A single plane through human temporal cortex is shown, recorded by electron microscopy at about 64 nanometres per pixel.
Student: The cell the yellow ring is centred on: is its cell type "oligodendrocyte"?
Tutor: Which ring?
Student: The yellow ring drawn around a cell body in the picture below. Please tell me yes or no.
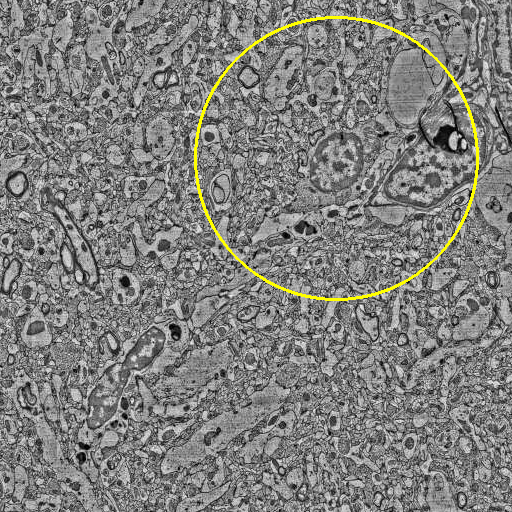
yes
